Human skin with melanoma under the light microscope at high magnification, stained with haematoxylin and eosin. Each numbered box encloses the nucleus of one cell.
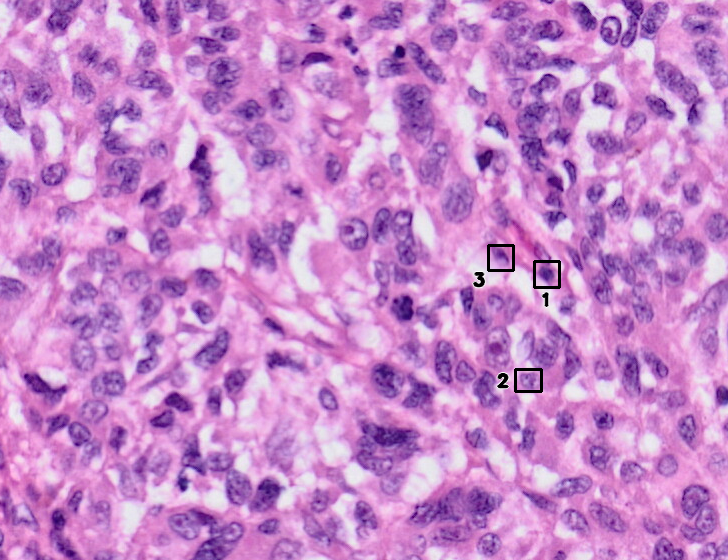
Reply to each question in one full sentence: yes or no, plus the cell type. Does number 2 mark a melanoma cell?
Yes, the cell corresponding to number 2 is a melanoma cell.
